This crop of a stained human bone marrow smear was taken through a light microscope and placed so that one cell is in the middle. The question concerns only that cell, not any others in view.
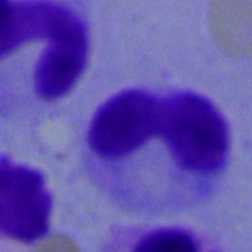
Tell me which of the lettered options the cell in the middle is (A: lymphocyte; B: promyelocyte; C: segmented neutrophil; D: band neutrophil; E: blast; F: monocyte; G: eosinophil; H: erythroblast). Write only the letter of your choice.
D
